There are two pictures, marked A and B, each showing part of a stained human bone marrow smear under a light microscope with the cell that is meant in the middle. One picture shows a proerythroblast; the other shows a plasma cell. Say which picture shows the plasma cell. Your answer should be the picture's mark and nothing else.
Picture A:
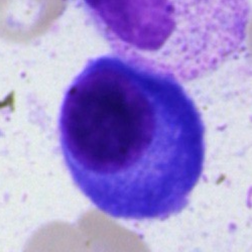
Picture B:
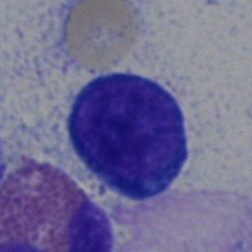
A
